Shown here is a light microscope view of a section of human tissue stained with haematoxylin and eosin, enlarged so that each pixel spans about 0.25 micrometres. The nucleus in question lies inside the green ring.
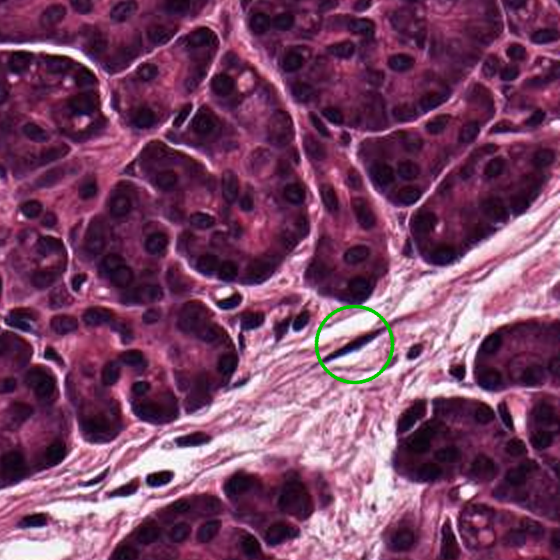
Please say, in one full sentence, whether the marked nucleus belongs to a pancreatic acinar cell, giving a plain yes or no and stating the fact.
No, the marked nucleus is held by a supporting cell and not by a pancreatic acinar cell.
